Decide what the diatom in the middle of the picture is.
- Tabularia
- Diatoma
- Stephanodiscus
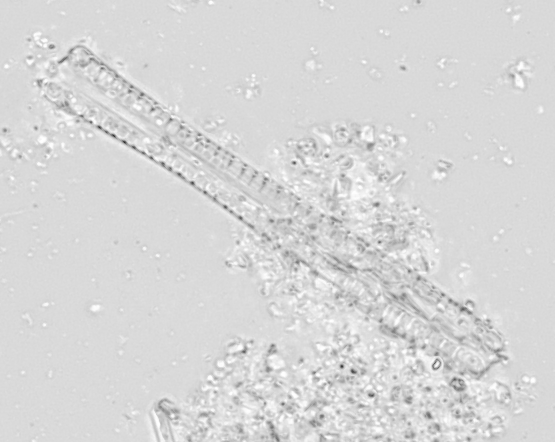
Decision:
Diatoma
